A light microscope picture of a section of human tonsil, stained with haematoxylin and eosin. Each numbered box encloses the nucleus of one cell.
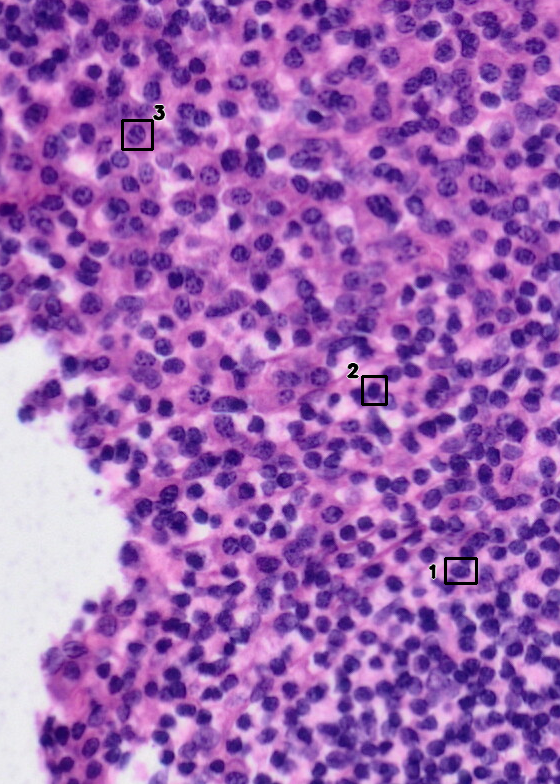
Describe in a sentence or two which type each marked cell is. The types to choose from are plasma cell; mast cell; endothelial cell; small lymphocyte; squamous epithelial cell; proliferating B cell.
Cell 1 is a small lymphocyte, cell 2 is a small lymphocyte and cell 3 is a plasma cell.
